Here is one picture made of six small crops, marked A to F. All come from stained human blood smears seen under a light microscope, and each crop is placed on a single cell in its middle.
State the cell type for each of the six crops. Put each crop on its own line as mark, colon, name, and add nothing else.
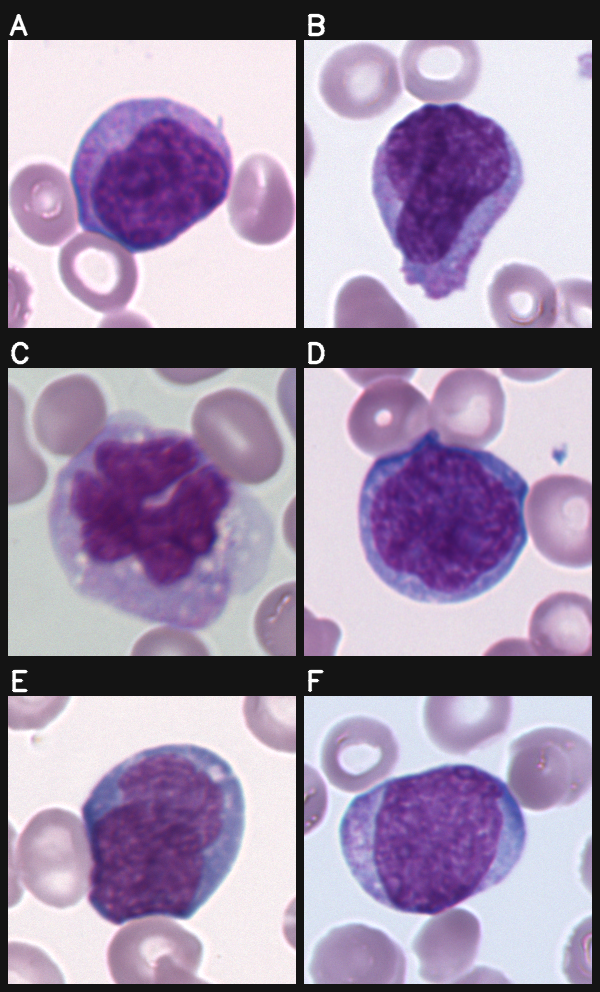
A: atypical promyelocyte
B: atypical promyelocyte
C: monocyte
D: myeloblast
E: myeloblast
F: atypical promyelocyte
